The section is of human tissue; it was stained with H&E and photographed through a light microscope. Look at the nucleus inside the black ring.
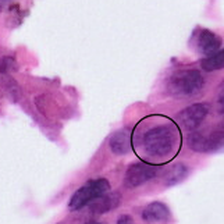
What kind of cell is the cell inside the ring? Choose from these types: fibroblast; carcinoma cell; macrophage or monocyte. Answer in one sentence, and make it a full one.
Cell type answer for this item: the cell inside the ring is a carcinoma cell.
